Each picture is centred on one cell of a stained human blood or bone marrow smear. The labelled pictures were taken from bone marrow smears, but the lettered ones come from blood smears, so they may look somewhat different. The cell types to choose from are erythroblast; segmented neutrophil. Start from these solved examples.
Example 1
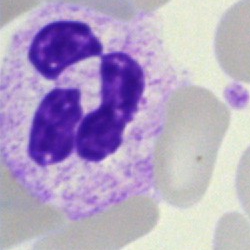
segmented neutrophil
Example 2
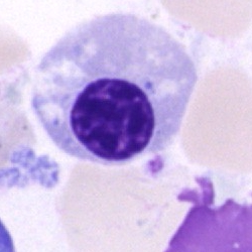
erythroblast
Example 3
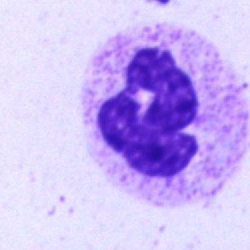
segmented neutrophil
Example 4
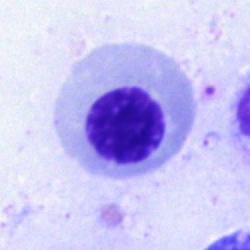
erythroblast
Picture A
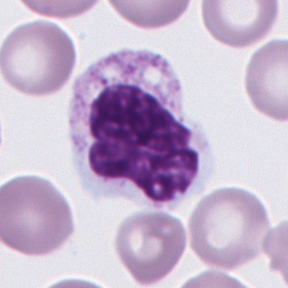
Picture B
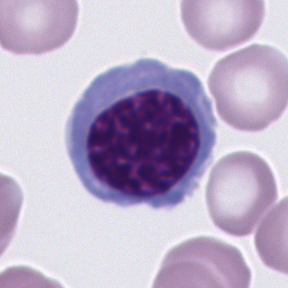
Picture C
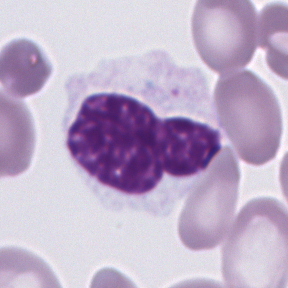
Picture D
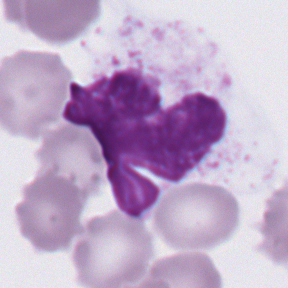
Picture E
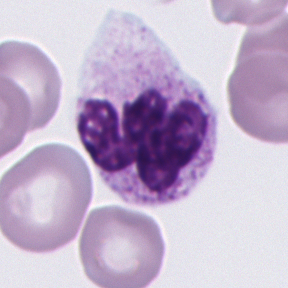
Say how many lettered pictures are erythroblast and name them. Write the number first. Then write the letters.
1, namely B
